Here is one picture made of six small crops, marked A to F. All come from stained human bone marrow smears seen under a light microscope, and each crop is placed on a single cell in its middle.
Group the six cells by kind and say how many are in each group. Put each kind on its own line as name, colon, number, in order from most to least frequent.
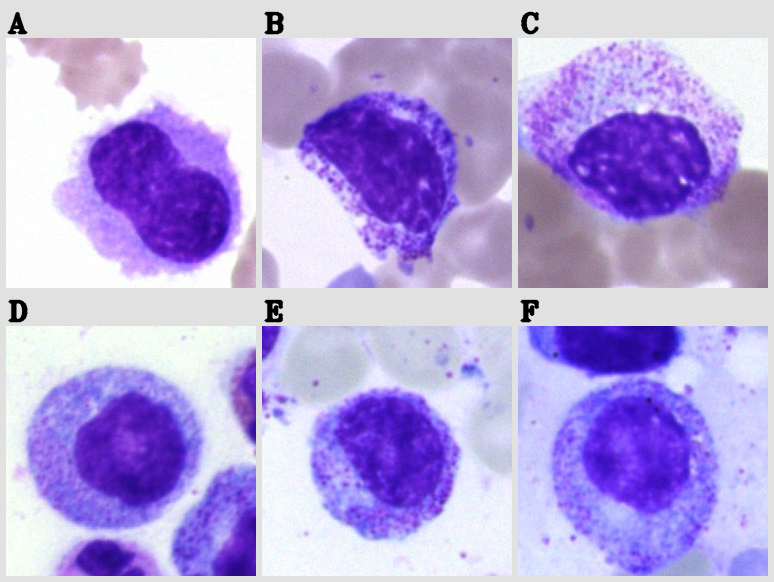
myelocyte: 5
hairy cell: 1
